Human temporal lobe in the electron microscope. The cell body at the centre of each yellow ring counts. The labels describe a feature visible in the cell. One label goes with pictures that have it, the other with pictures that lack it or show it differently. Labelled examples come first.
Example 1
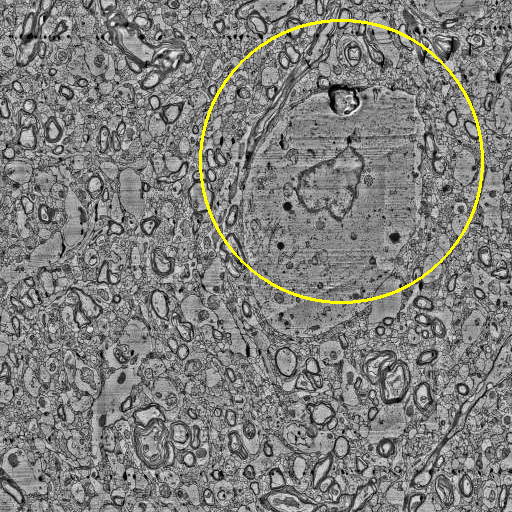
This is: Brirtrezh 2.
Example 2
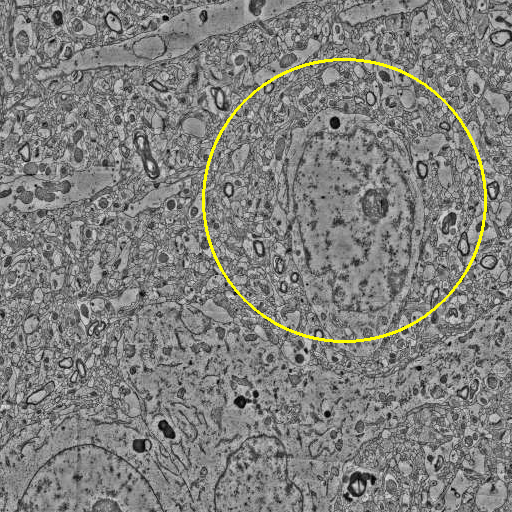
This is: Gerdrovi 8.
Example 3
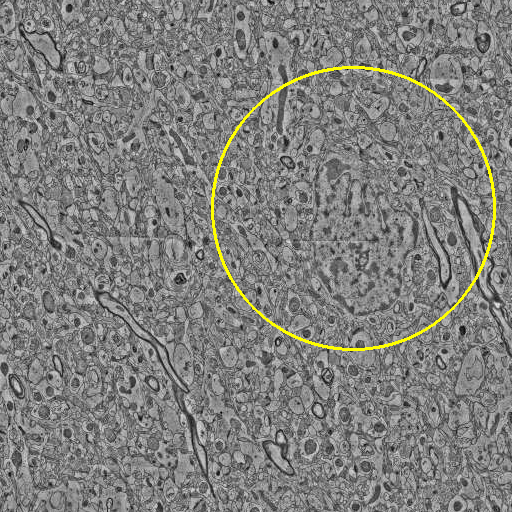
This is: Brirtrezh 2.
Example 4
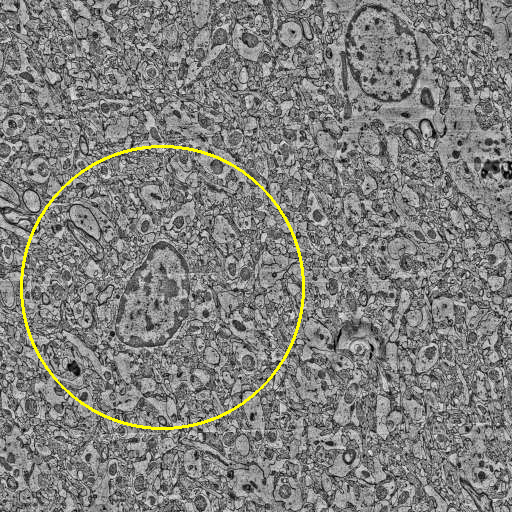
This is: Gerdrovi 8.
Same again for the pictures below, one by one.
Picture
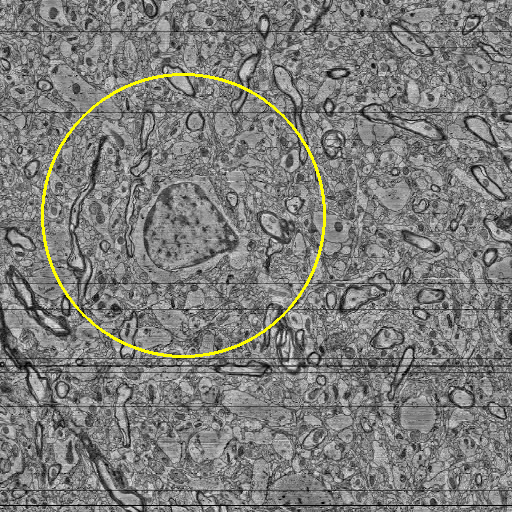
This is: Gerdrovi 8.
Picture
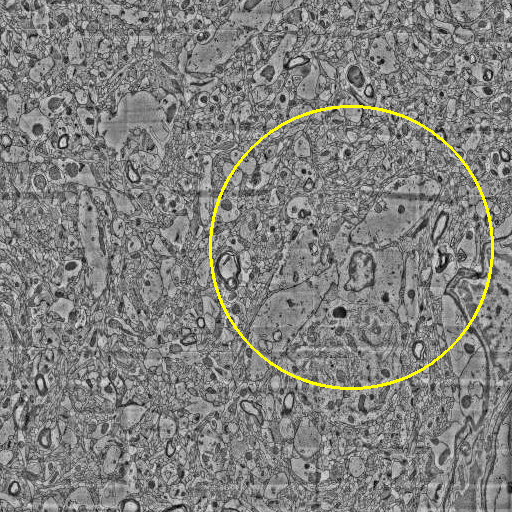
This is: Brirtrezh 2.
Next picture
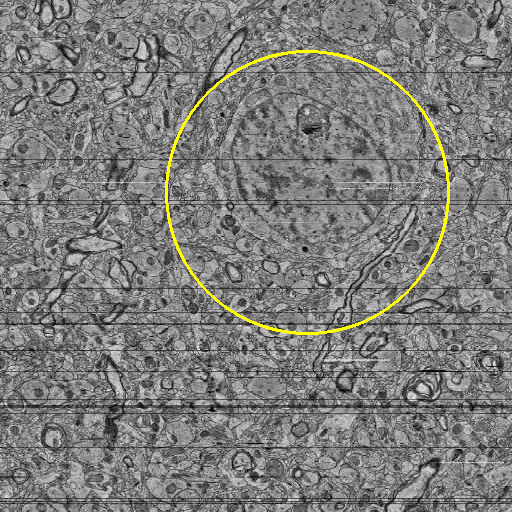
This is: Gerdrovi 8.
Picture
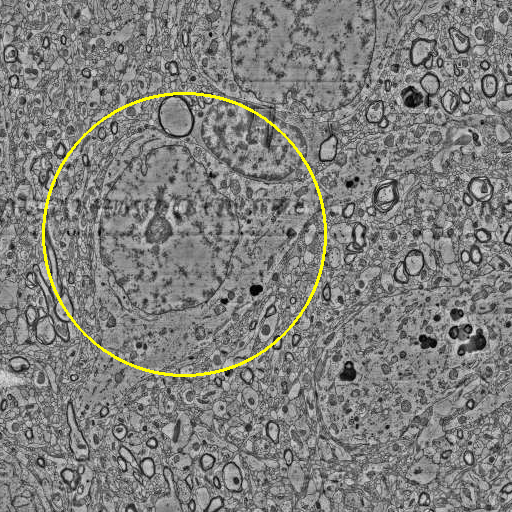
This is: Brirtrezh 2.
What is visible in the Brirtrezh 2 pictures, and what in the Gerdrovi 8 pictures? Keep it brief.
In Brirtrezh 2: deeply folded or indented nuclear envelopes. In Gerdrovi 8: smooth nuclear envelopes without deep folds.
